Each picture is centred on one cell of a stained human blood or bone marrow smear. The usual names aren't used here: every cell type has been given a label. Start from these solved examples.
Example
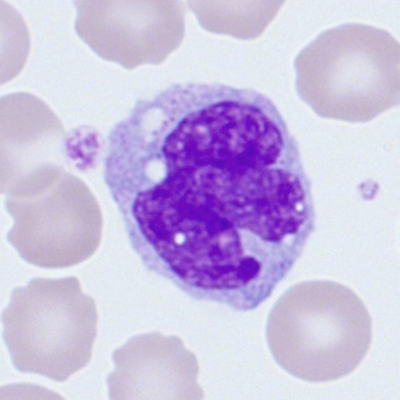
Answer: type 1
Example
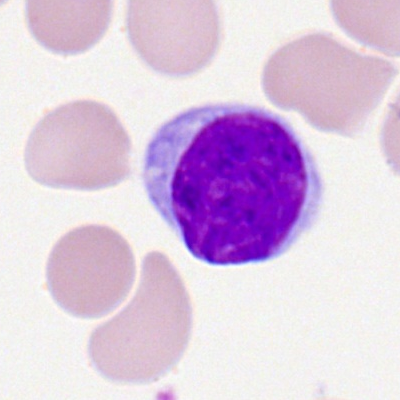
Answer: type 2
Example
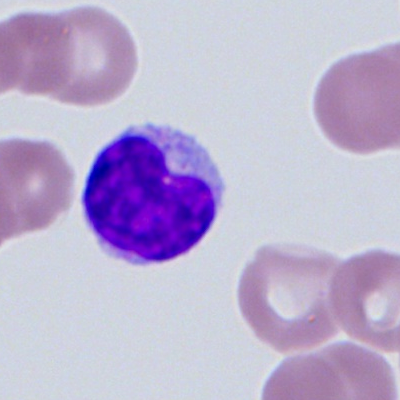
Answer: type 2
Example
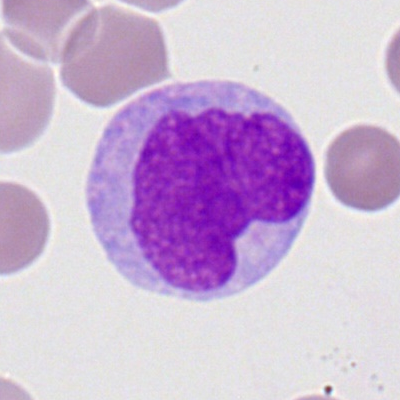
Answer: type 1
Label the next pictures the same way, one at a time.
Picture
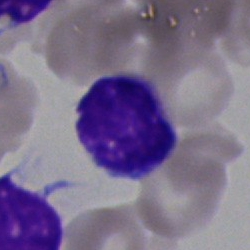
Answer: type 2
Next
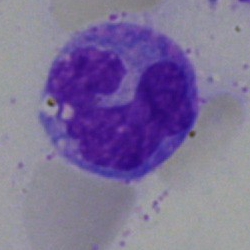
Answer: type 1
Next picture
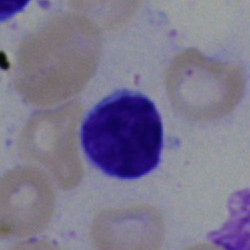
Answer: type 2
